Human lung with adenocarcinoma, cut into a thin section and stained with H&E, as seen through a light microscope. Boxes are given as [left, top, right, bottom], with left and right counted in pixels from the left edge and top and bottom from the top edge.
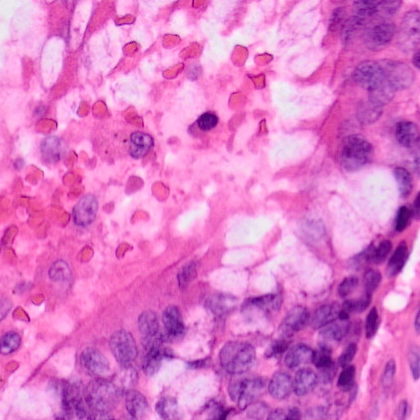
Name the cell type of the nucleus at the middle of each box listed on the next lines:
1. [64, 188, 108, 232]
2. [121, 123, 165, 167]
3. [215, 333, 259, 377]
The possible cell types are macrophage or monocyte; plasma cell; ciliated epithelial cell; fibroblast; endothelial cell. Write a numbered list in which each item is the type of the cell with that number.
1. macrophage or monocyte
2. macrophage or monocyte
3. ciliated epithelial cell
